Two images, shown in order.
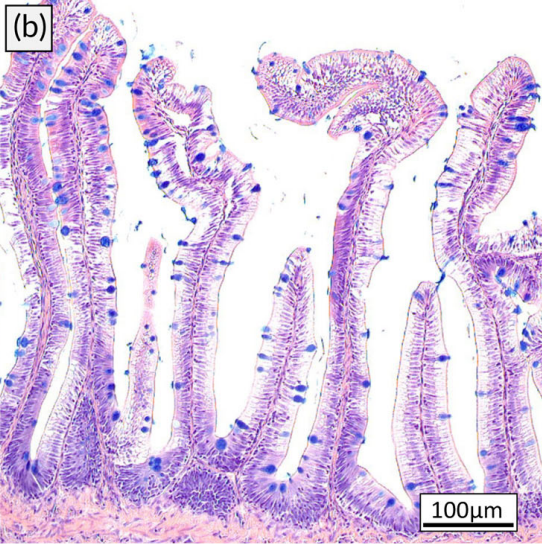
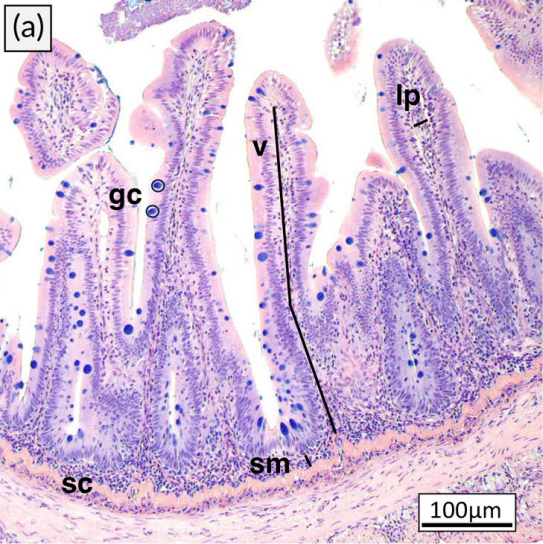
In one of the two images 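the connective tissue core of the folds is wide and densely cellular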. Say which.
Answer: The second image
